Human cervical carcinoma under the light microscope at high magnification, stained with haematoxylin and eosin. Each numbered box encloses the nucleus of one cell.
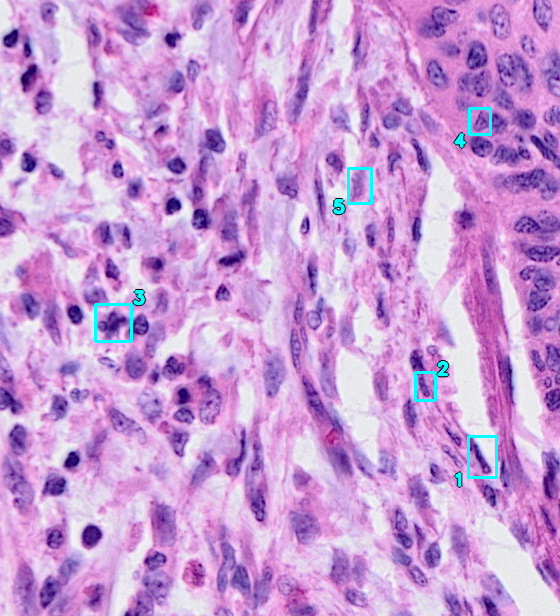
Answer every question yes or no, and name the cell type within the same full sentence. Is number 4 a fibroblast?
No, cell 4, which is a squamous carcinoma cell, is not a fibroblast.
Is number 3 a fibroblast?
No, the cell tagged 3 is a lymphocyte, and not a fibroblast.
